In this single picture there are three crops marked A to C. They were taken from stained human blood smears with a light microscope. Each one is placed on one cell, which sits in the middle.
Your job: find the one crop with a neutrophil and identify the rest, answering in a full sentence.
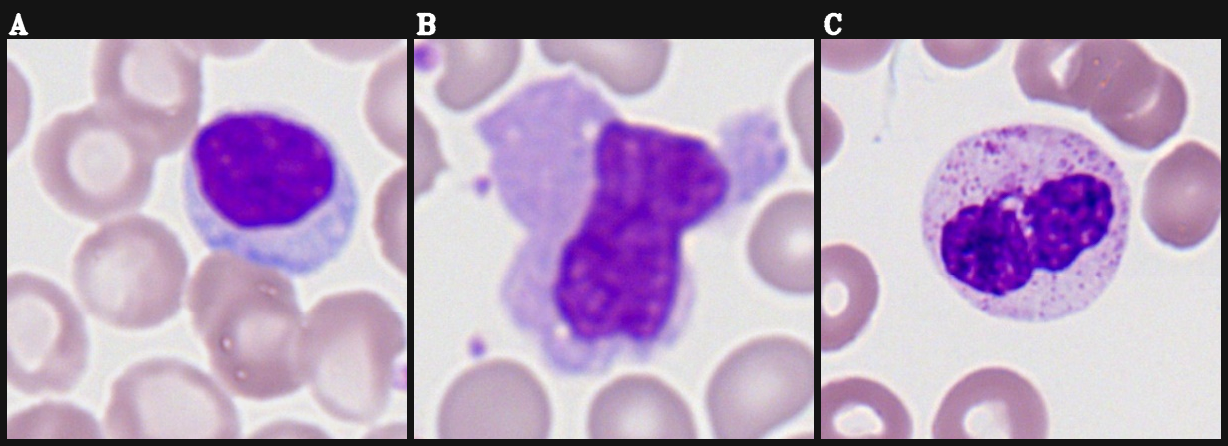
The cell of interest in crop C is a neutrophil, and crop A is a lymphocyte and crop B is a monocyte.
